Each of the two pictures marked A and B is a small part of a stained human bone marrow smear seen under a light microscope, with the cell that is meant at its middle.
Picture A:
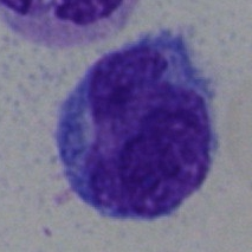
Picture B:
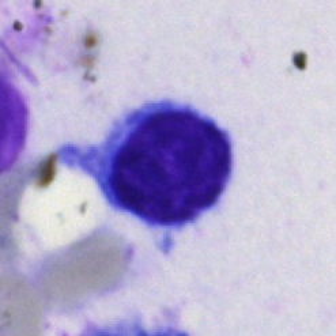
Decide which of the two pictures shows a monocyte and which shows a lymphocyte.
A: monocyte
B: lymphocyte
